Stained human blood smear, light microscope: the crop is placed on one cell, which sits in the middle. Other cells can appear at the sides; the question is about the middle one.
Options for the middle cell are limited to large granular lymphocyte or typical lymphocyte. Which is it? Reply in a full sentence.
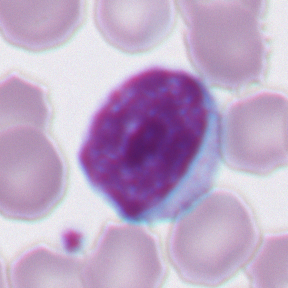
What sits at the centre of this crop is a typical lymphocyte.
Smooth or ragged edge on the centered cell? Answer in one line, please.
You can see a smooth boundary, with no projections sticking out.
